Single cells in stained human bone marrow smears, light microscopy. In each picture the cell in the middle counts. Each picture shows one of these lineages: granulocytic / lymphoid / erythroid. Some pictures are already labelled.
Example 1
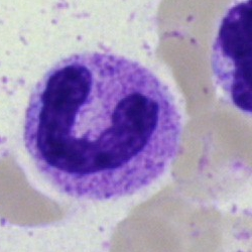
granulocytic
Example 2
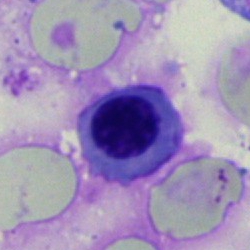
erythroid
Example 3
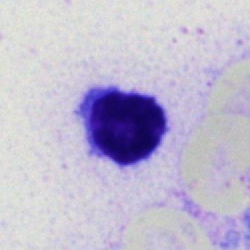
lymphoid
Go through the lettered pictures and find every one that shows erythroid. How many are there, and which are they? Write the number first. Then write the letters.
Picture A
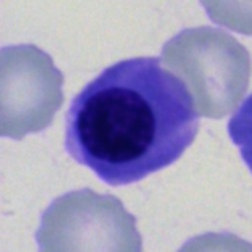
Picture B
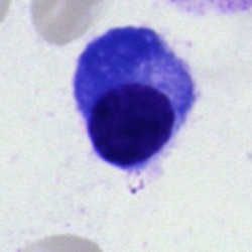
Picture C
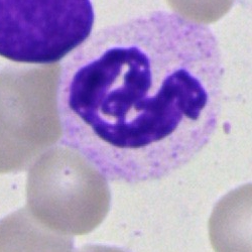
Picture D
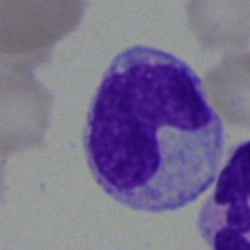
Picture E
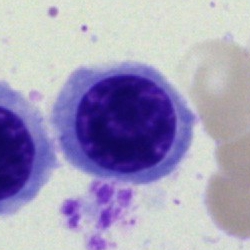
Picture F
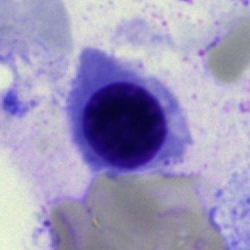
Count: 3 (A, E, F)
